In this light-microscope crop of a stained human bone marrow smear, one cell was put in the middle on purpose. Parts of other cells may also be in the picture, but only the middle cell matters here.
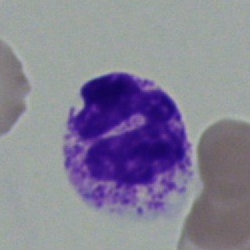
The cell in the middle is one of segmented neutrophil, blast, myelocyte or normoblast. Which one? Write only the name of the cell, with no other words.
segmented neutrophil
